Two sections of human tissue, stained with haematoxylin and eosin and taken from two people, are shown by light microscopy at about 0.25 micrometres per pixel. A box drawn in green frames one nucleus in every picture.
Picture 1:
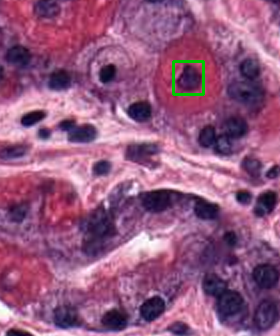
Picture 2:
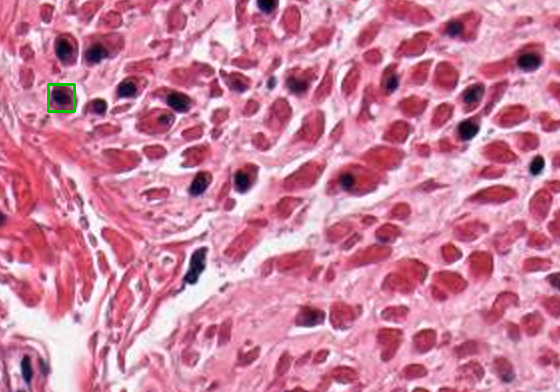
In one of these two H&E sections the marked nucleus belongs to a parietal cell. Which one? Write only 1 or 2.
1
